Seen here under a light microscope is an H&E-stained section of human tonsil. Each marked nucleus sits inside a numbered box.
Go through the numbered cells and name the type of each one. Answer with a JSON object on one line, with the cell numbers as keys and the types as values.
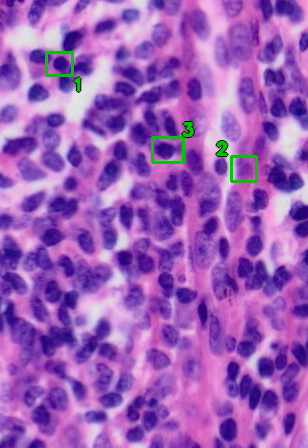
{"1": "small lymphocyte", "2": "endothelial cell", "3": "small lymphocyte"}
